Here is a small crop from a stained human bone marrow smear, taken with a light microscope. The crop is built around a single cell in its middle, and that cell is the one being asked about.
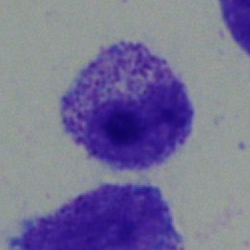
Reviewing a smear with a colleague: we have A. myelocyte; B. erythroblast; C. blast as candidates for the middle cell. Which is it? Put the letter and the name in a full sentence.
Option A is correct; the cell in the middle is a myelocyte.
